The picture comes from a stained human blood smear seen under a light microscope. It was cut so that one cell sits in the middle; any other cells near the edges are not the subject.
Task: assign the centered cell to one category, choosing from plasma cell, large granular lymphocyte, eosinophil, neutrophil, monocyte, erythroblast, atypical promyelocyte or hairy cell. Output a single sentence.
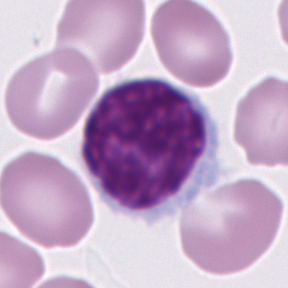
The cell marked by its central position in the crop is a hairy cell.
